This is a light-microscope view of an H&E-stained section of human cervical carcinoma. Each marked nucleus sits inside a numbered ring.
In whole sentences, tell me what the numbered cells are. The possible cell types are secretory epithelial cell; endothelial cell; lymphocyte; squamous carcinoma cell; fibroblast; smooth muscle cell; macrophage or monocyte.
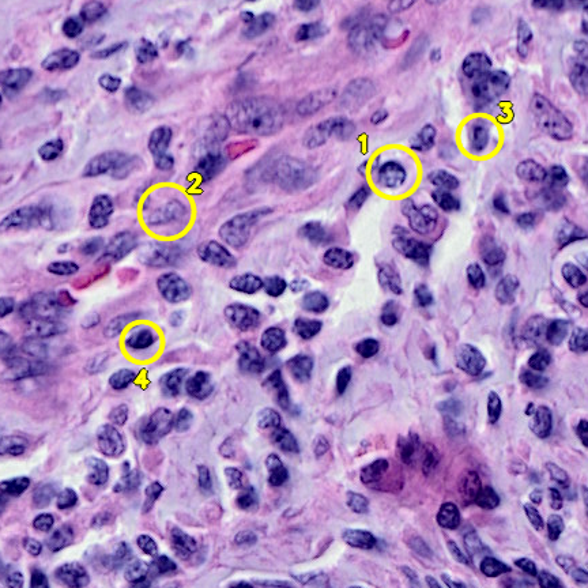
Cells 1, 3 and 4 are lymphocytes. Cell 2 is an endothelial cell.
